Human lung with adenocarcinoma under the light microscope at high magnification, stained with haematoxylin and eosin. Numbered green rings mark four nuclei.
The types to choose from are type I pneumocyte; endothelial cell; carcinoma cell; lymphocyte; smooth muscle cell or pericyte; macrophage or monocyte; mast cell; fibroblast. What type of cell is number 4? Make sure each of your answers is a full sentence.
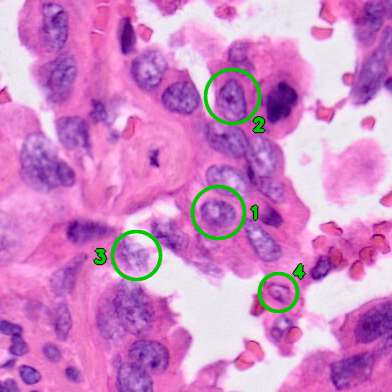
Marked with the number 4, this cell is a macrophage or monocyte.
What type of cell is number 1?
The cell numbered 1 has been identified as a carcinoma cell.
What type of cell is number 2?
To a carcinoma cell belongs the nucleus marked 2.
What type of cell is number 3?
That cell with number 3 is a carcinoma cell.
